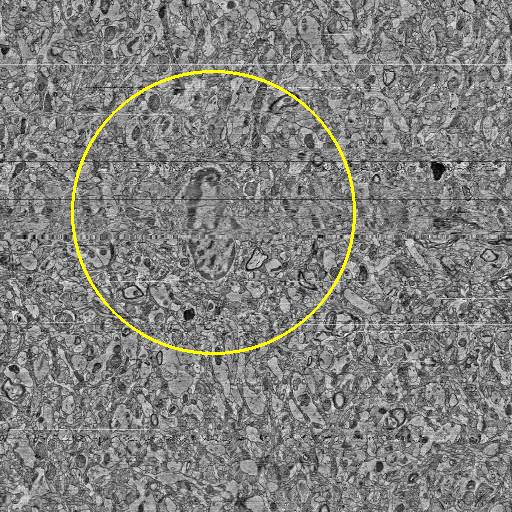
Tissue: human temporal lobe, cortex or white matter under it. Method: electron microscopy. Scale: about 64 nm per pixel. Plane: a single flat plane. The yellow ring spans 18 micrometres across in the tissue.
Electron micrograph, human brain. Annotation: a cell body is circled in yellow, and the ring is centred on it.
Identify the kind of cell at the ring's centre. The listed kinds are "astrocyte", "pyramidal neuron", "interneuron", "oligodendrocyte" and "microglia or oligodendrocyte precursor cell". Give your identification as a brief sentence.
The circled cell body is that of a microglial cell or oligodendrocyte precursor cell.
